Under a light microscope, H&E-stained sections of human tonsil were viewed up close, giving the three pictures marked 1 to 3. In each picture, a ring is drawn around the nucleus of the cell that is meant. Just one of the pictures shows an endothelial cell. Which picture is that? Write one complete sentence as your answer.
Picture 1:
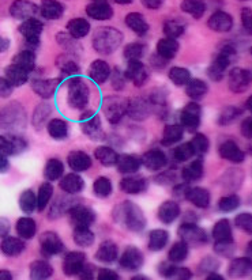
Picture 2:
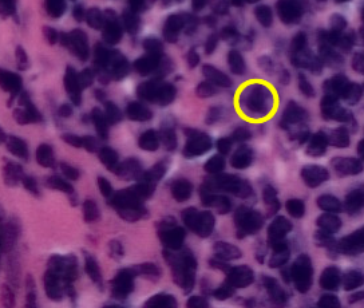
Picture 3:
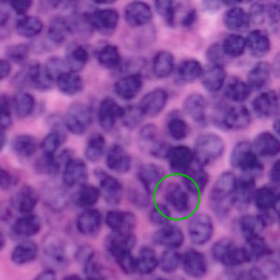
The endothelial cell is the one in picture 2.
